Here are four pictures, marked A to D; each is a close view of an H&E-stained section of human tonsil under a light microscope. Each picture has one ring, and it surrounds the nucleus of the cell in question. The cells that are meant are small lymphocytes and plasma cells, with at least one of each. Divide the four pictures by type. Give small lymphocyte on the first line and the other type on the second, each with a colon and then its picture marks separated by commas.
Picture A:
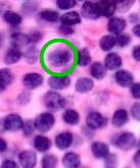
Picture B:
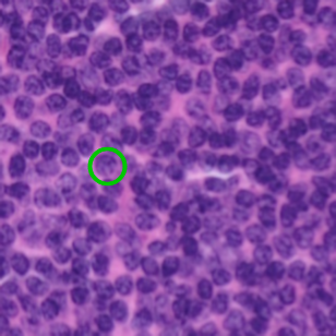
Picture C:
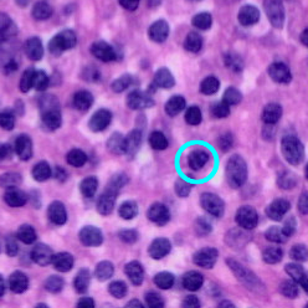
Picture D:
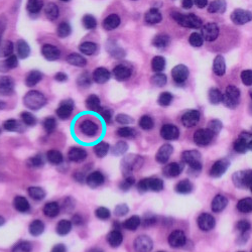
small lymphocyte: A, B
plasma cell: C, D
